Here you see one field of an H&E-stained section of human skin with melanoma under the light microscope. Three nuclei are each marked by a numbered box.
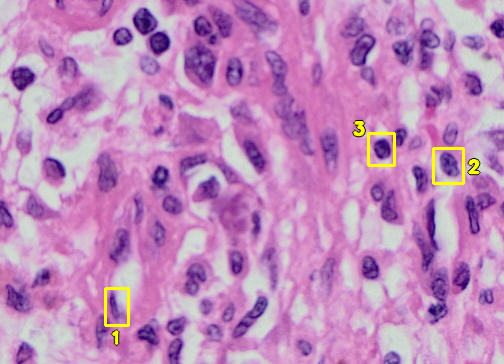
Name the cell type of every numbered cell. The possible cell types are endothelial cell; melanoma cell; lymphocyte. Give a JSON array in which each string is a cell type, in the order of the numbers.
["endothelial cell", "lymphocyte", "lymphocyte"]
